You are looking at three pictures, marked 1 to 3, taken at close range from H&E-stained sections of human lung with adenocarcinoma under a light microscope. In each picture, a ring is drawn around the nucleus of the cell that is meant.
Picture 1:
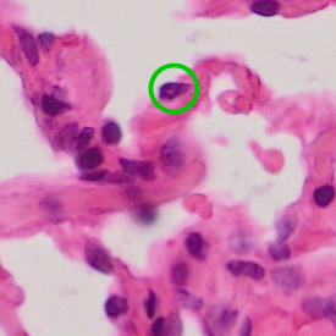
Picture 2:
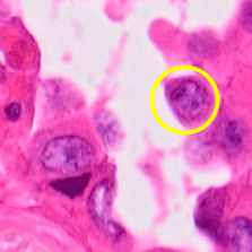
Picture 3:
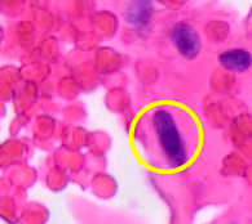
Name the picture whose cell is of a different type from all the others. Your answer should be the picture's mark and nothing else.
2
